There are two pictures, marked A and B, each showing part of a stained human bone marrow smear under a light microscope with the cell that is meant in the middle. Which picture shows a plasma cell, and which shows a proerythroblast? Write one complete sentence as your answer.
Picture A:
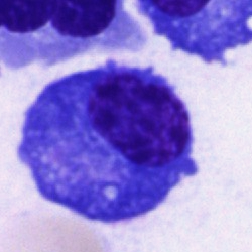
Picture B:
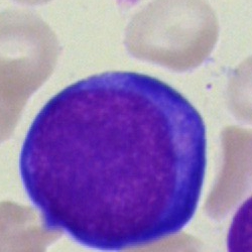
Picture A is of a plasma cell, and picture B is of a proerythroblast.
